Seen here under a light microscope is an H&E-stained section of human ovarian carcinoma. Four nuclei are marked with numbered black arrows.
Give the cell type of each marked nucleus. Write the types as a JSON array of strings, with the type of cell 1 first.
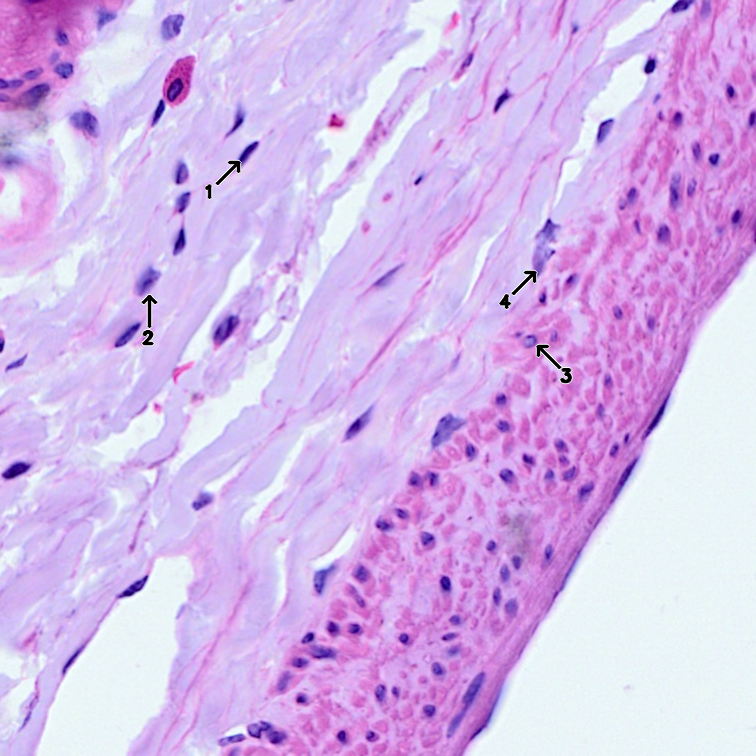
["fibroblast", "fibroblast", "smooth muscle cell", "fibroblast"]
